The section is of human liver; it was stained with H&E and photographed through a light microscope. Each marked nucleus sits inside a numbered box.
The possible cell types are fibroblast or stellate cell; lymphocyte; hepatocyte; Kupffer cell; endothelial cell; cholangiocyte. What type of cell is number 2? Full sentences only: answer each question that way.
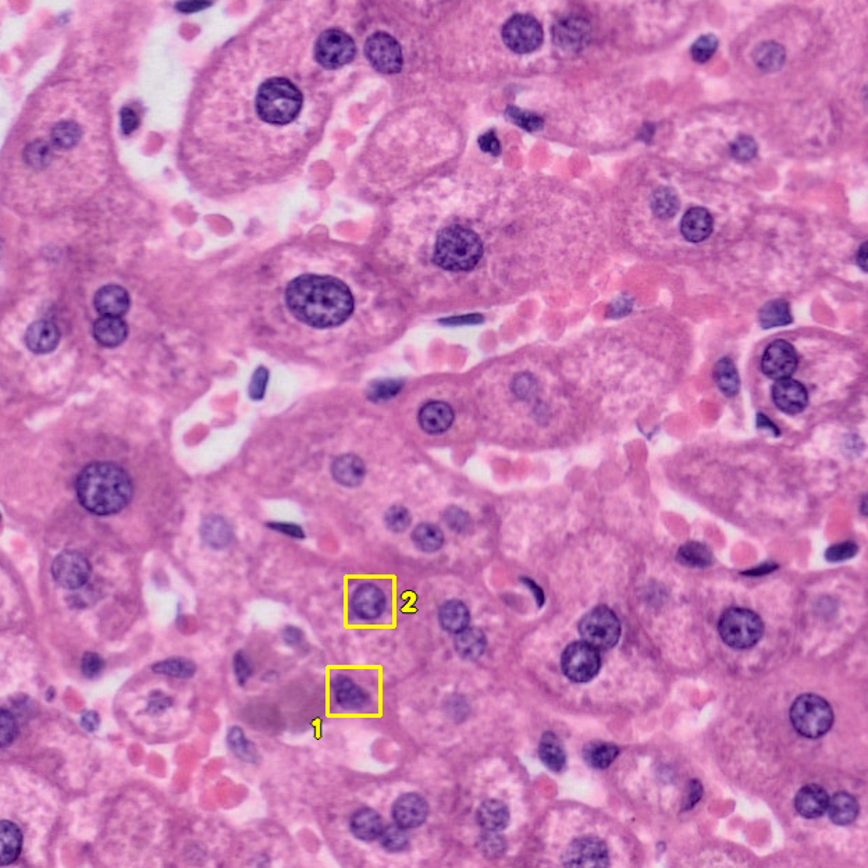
The cell indicated by marker 2 is a hepatocyte in this section.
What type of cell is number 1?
The cell referred to as 1 is a fibroblast or stellate cell.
